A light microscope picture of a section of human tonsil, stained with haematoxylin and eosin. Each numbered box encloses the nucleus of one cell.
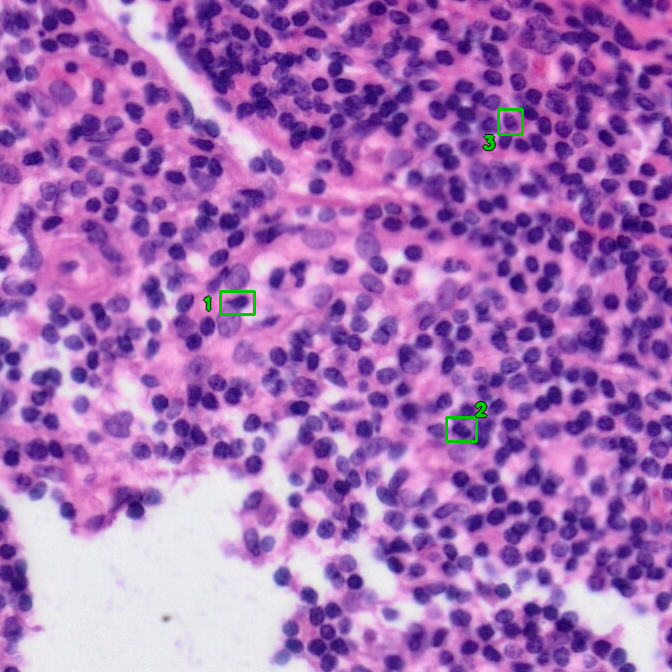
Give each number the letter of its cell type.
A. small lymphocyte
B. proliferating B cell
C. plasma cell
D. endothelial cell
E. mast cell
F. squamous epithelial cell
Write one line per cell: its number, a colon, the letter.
1: D
2: A
3: A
